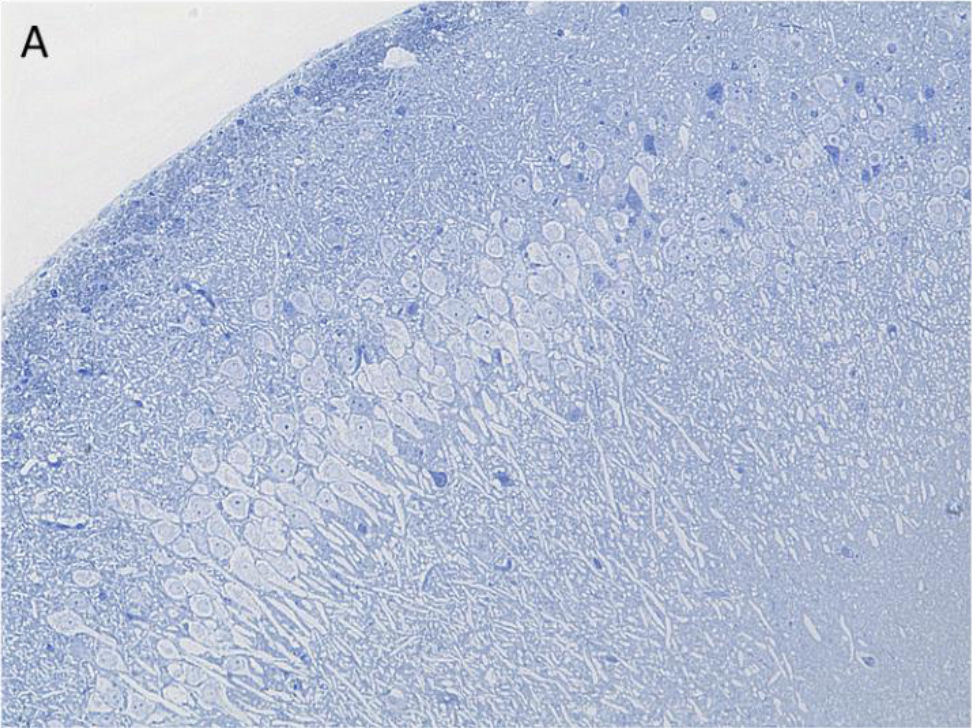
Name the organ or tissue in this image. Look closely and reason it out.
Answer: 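A dense band of large, pale, triangular neuronal cell bodies runs diagonally across the section. Long parallel processes extend from the cell band toward the lower right.
Hence: hippocampus.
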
